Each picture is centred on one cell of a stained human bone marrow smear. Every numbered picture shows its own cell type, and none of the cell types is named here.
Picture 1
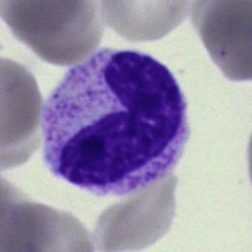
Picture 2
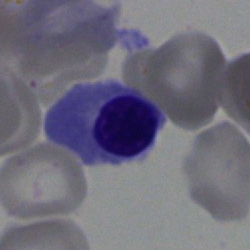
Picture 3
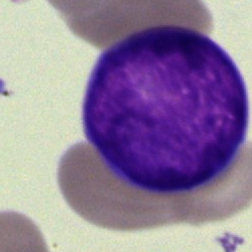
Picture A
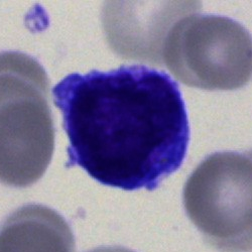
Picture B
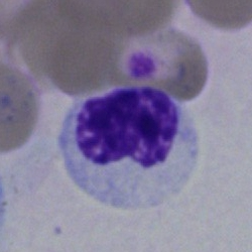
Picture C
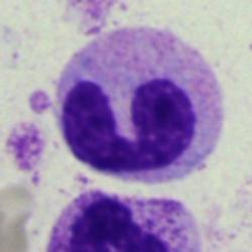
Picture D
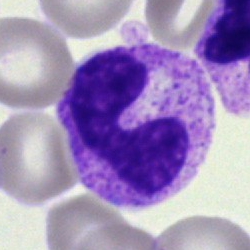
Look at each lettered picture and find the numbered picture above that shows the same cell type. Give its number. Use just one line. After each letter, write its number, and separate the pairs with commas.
A 3, B 1, C 1, D 1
